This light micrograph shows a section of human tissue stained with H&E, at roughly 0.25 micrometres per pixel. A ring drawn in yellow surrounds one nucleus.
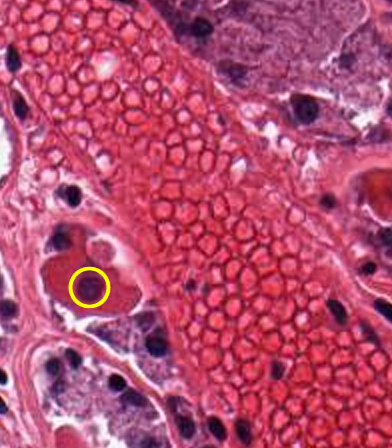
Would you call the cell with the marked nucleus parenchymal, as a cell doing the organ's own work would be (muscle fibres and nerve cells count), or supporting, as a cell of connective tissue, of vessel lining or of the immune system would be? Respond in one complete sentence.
The marked nucleus forms part of a parenchymal cell, namely a parietal cell.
